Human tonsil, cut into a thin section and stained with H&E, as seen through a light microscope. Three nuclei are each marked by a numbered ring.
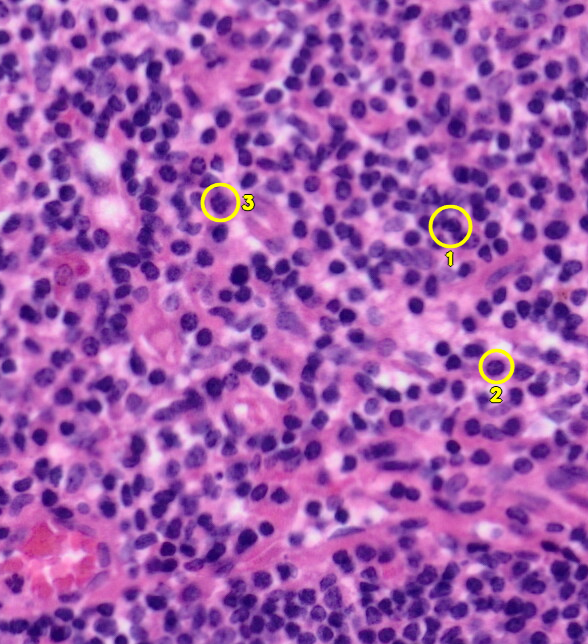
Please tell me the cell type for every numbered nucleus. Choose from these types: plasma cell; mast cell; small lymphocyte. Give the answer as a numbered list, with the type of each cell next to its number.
1. small lymphocyte
2. plasma cell
3. plasma cell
